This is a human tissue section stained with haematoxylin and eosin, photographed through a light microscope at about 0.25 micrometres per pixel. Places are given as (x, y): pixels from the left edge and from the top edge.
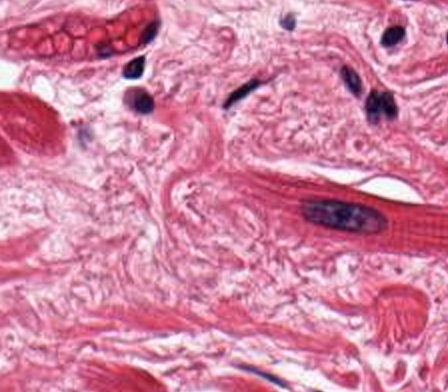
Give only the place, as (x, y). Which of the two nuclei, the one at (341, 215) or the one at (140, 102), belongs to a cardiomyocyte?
(341, 215)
